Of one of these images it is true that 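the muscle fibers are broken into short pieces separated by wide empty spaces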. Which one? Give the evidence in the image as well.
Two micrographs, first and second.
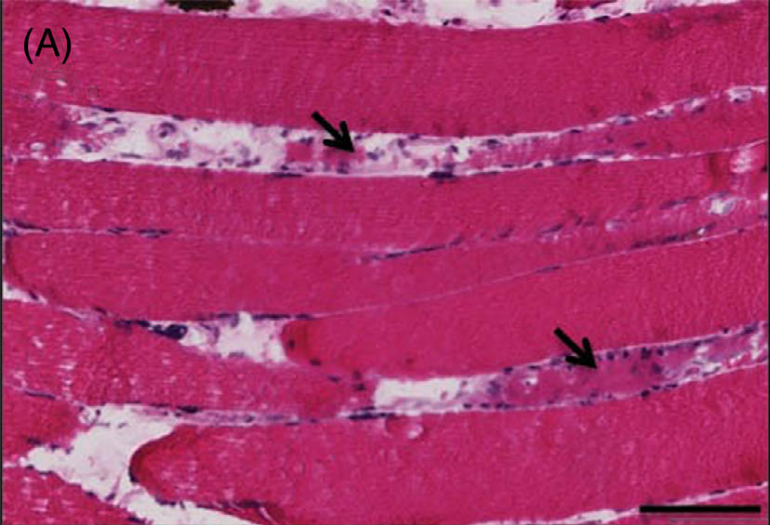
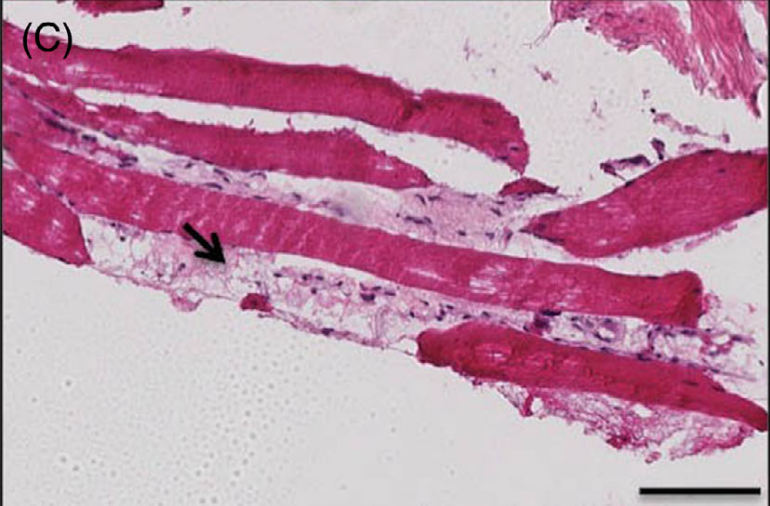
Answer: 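Second image: few fibers remain, ending in stumps, with a large blank area and loose pale tissue between them. First image: long continuous fibers fill the field with only narrow gaps between them. That points to this answer: the second image.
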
